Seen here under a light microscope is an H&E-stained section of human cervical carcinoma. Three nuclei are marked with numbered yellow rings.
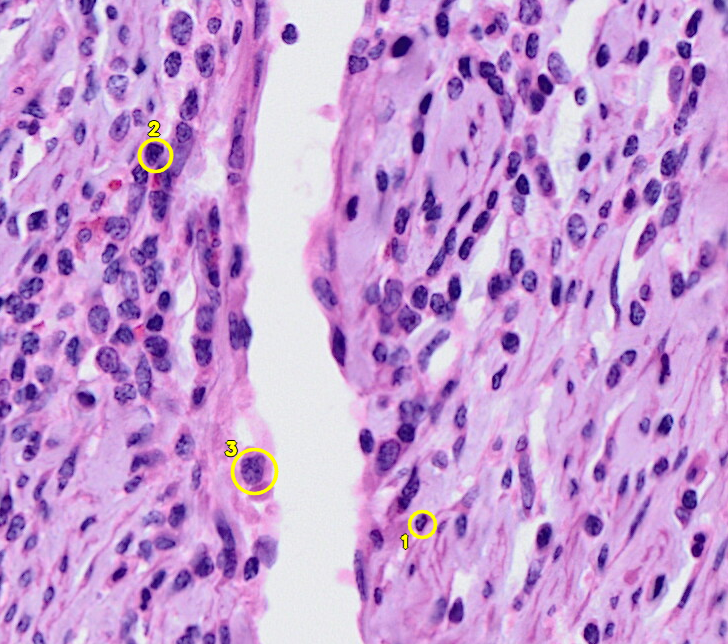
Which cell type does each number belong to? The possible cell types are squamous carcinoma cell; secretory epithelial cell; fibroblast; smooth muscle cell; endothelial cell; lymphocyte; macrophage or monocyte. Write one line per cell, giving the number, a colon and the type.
1: lymphocyte
2: lymphocyte
3: macrophage or monocyte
